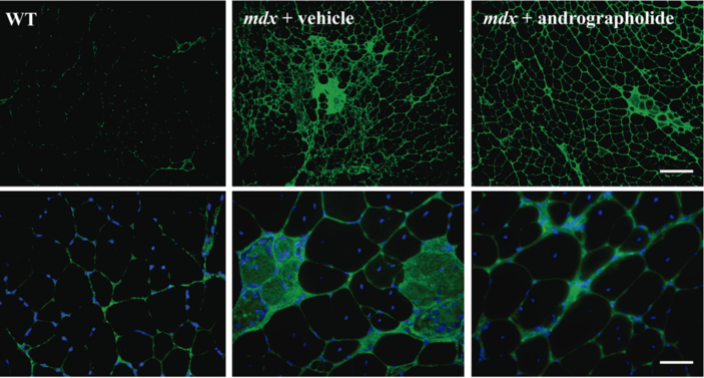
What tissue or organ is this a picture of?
skeletal muscle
